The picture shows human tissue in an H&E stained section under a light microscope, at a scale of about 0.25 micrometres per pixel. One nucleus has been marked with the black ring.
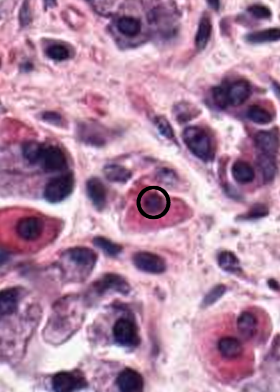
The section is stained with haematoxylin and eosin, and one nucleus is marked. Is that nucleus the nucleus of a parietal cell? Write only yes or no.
yes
